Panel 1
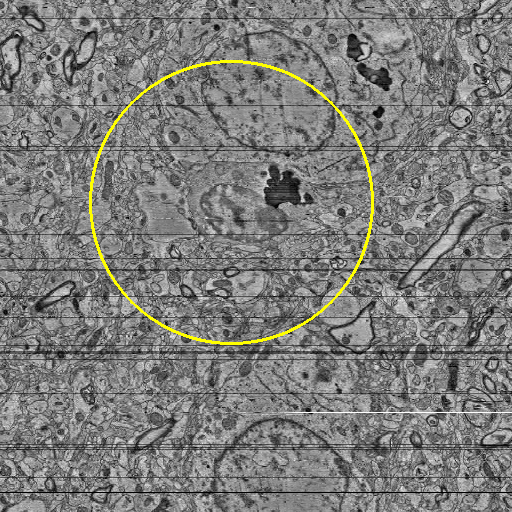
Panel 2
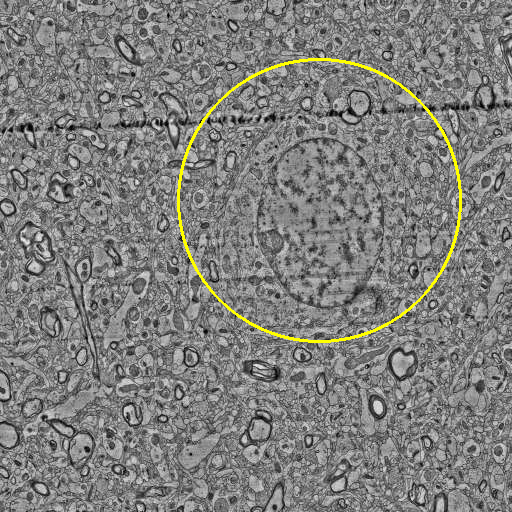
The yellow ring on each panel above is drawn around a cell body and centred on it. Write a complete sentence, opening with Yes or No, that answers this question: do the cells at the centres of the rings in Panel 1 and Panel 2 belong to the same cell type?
No, the two cells belong to two cell types.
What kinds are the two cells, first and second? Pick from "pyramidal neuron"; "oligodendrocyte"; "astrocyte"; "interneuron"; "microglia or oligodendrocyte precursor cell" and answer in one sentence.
The second picture holds an interneuron in its ring, and the first holds an oligodendrocyte.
